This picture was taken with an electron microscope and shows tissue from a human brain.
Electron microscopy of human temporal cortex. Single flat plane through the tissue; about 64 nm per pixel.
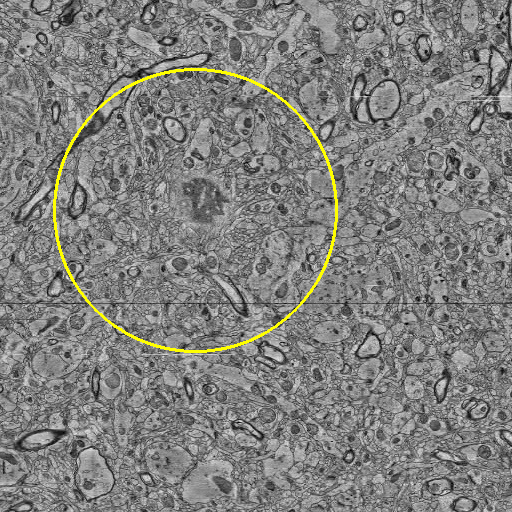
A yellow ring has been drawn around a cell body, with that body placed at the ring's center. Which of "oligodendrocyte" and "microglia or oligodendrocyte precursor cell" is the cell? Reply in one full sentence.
In this picture, an oligodendrocyte is the cell at the center of the yellow ring.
